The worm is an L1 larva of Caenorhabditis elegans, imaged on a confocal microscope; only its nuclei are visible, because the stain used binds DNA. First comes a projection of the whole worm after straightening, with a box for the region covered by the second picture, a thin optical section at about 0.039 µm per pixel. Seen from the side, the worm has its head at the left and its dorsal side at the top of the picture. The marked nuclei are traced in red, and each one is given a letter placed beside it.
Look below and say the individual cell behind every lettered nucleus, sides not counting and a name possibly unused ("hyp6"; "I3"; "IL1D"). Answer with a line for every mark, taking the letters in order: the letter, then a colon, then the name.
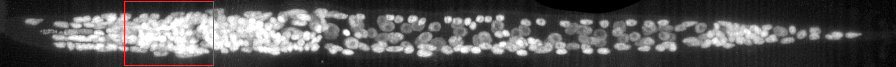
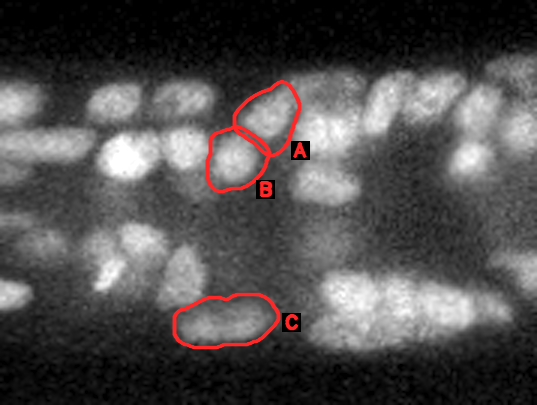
A: IL1D
B: I3
C: hyp6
